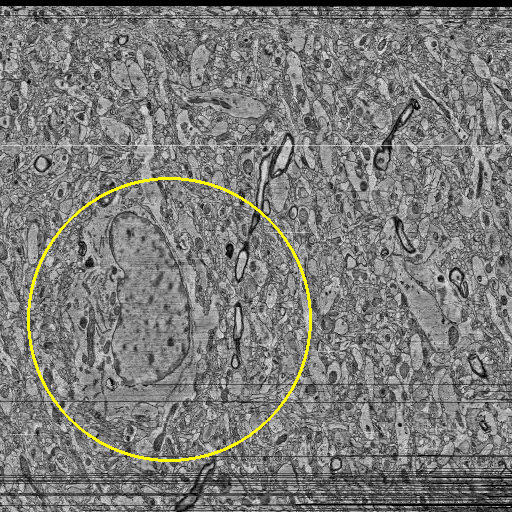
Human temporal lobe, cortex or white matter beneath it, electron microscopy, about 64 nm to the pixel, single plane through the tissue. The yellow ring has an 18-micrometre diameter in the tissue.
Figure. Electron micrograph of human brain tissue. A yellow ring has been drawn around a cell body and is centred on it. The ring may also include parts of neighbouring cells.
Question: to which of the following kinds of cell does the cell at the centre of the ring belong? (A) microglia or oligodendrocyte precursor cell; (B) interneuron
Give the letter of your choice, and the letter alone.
A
